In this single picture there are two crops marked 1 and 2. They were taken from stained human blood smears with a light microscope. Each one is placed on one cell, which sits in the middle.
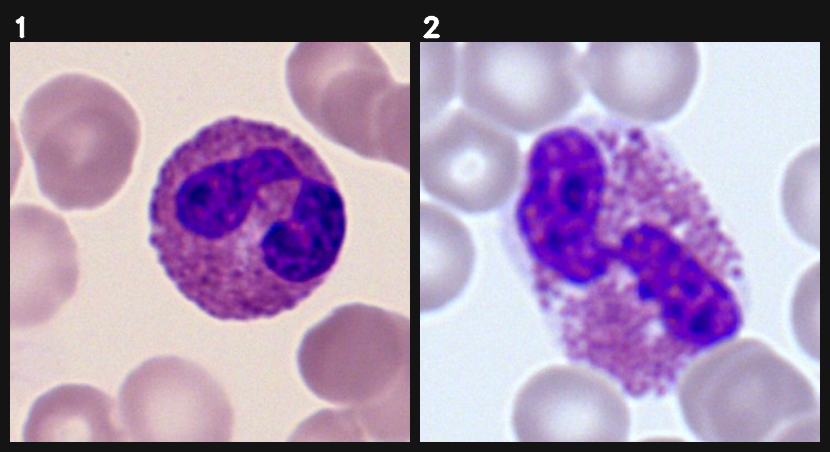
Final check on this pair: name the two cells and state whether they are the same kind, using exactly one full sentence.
Yes, both crops are centred on eosinophils.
